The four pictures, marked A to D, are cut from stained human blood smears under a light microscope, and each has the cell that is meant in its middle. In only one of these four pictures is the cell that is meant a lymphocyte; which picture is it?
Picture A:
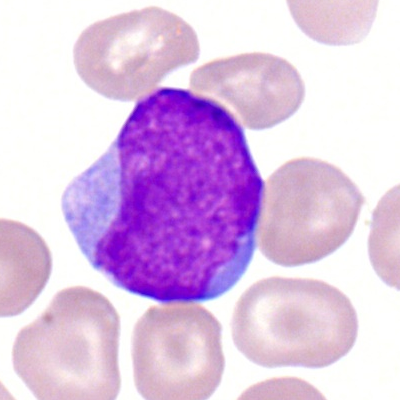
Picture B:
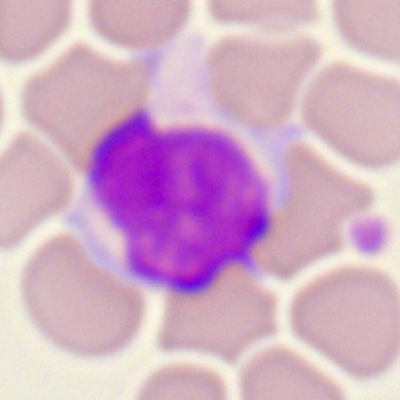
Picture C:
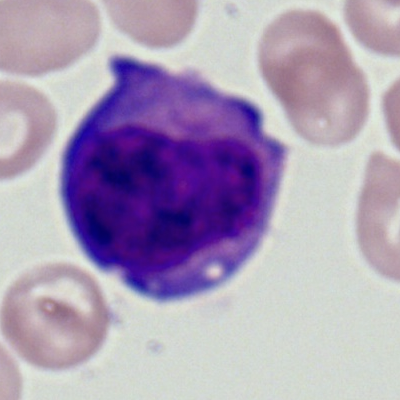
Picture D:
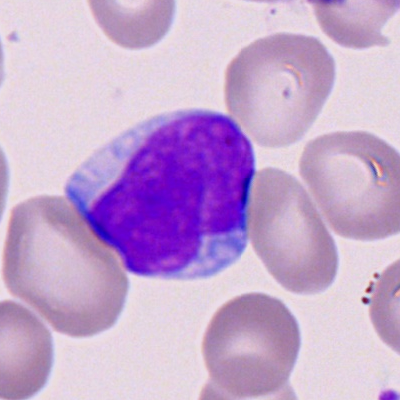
B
